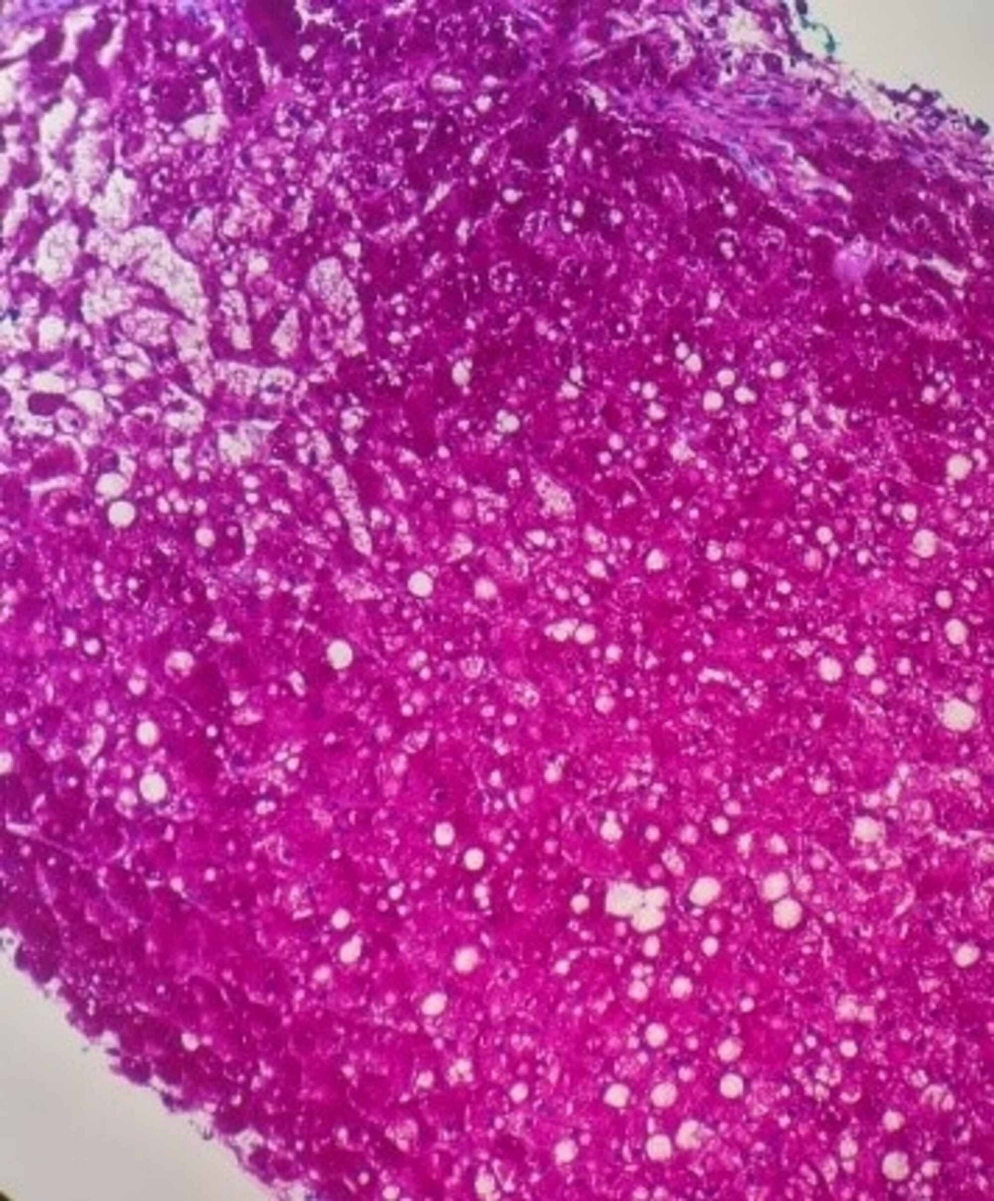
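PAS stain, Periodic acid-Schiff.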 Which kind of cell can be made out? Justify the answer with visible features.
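The cells form a solid parenchyma with many round clear spaces between and within them.
Answer: hepatocytes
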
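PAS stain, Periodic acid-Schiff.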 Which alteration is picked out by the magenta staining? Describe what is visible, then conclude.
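Abundant glycogen. The cytoplasm throughout the tissue stains intensely and diffusely magenta. The magenta staining fills nearly the whole section rather than isolated cells.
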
